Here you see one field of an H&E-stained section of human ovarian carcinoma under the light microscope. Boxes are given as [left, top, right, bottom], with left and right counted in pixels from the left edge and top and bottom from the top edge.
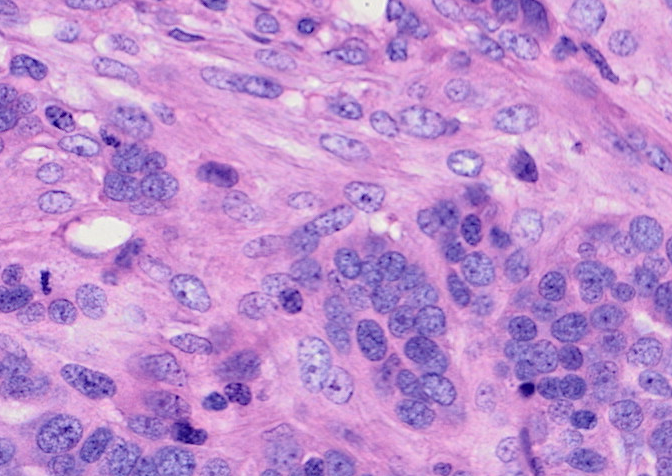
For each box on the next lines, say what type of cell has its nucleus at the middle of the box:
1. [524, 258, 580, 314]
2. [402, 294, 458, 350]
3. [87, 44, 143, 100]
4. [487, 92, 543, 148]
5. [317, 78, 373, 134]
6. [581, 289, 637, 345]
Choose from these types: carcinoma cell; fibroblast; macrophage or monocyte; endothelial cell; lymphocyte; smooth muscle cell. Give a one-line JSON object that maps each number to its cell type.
{"1": "carcinoma cell", "2": "carcinoma cell", "3": "fibroblast", "4": "fibroblast", "5": "fibroblast", "6": "carcinoma cell"}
